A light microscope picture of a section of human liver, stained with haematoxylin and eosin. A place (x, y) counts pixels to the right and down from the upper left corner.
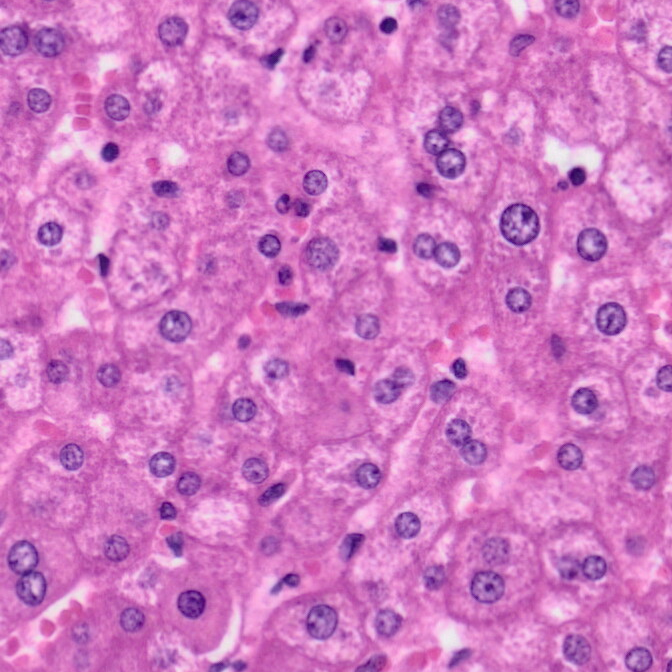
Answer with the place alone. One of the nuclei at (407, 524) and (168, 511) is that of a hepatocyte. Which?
(407, 524)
